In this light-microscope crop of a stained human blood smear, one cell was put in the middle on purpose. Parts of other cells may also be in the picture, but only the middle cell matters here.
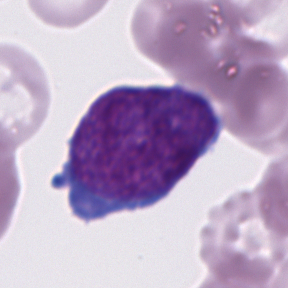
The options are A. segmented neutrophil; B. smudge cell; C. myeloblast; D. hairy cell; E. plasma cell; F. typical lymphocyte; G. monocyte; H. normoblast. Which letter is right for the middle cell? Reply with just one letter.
C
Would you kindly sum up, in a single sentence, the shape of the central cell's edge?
Along the periphery, ragged stretches or projections make the outline irregular.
